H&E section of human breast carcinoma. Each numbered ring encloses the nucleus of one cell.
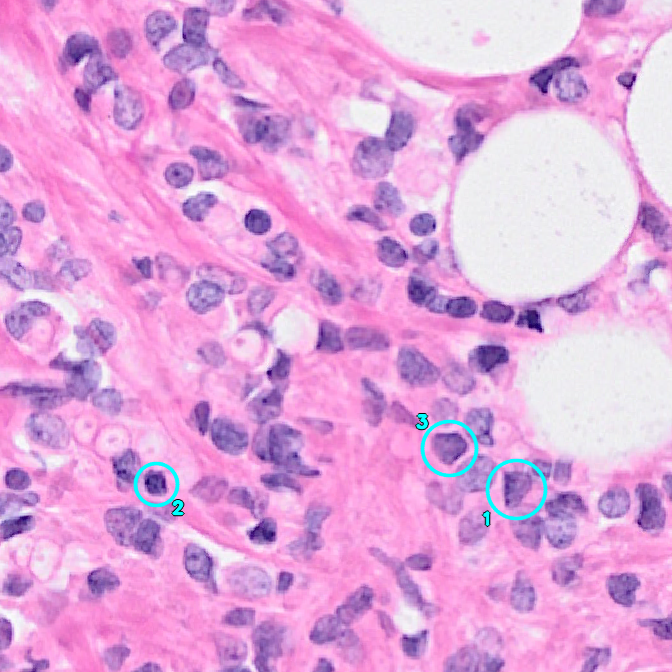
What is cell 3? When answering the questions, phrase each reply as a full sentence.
In the tissue shown, cell 3 is a carcinoma cell.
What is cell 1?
The cell pointed out by number 1 is a carcinoma cell.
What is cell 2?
In this section, the cell numbered 2 is a lymphocyte.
